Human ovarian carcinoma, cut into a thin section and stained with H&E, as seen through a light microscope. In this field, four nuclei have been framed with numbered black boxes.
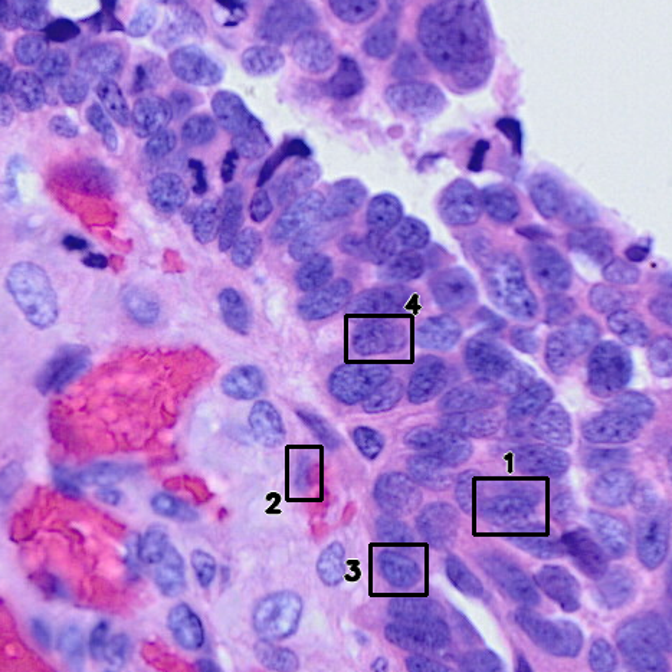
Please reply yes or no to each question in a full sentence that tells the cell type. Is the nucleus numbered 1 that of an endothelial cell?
No, cell 1 is a carcinoma cell; it is not an endothelial cell.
